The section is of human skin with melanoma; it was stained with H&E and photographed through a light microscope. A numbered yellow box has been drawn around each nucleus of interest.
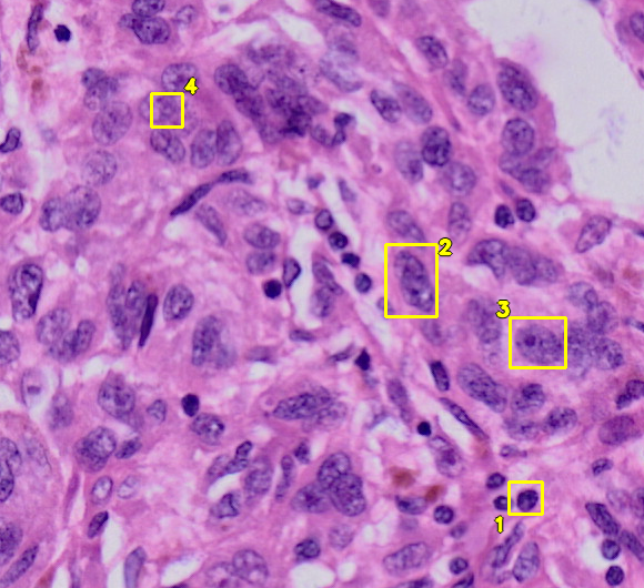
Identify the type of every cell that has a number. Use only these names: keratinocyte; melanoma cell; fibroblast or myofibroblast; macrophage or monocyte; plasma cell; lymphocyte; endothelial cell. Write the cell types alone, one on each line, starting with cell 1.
lymphocyte
melanoma cell
melanoma cell
melanoma cell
